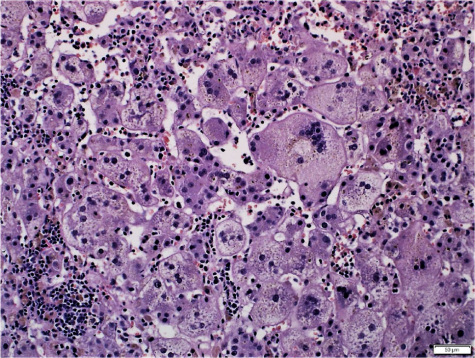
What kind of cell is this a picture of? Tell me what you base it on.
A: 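Several hepatocytes are far larger than their neighbours. These large cells contain clusters of several nuclei. Their cytoplasm is pale and granular, like that of the surrounding liver cells.
Hence: Multinucleated giant hepatocytes.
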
